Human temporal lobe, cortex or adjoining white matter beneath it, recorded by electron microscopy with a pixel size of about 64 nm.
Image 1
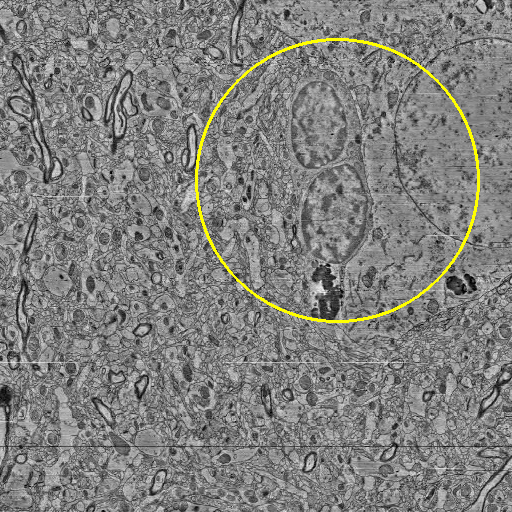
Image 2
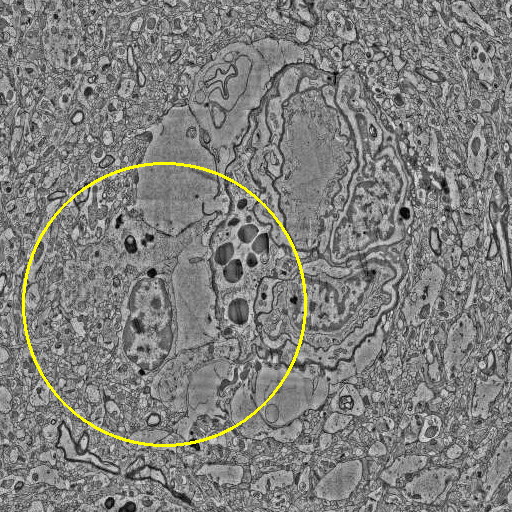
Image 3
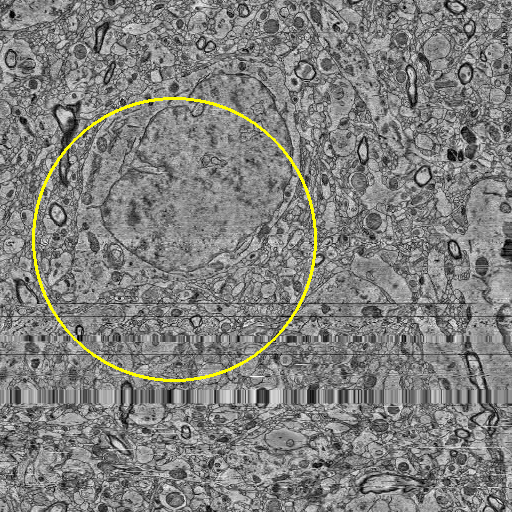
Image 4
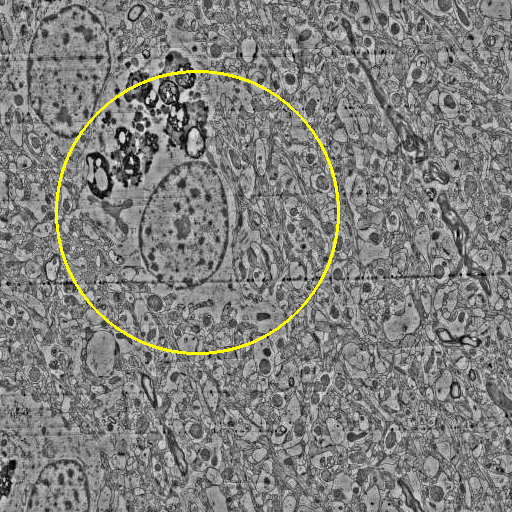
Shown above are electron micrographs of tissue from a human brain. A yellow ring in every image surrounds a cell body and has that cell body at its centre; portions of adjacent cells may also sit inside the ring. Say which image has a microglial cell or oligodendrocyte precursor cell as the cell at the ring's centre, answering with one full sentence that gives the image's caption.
The image whose ring is centred on the requested cell is Image 2.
